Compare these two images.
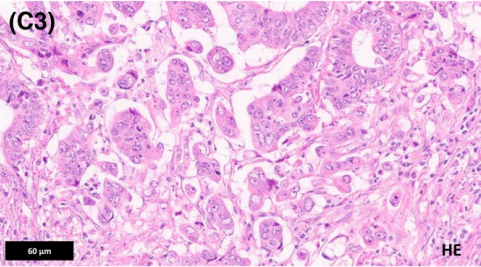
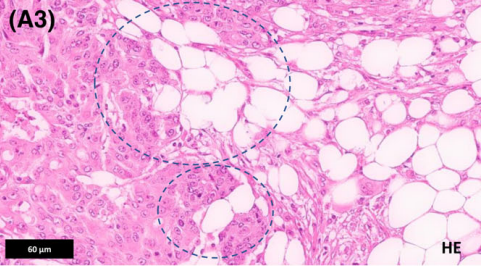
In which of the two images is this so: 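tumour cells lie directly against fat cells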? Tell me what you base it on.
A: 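First image: tumour nests sit in fibrous stroma with only slit-like clear spaces, no fat cells. Second image: tumour cell clusters border large round empty fat cells directly.
The second image.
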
